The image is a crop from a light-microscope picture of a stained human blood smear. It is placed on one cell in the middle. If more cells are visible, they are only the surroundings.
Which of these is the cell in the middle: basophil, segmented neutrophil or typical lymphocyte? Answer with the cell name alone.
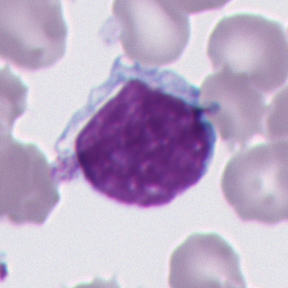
typical lymphocyte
